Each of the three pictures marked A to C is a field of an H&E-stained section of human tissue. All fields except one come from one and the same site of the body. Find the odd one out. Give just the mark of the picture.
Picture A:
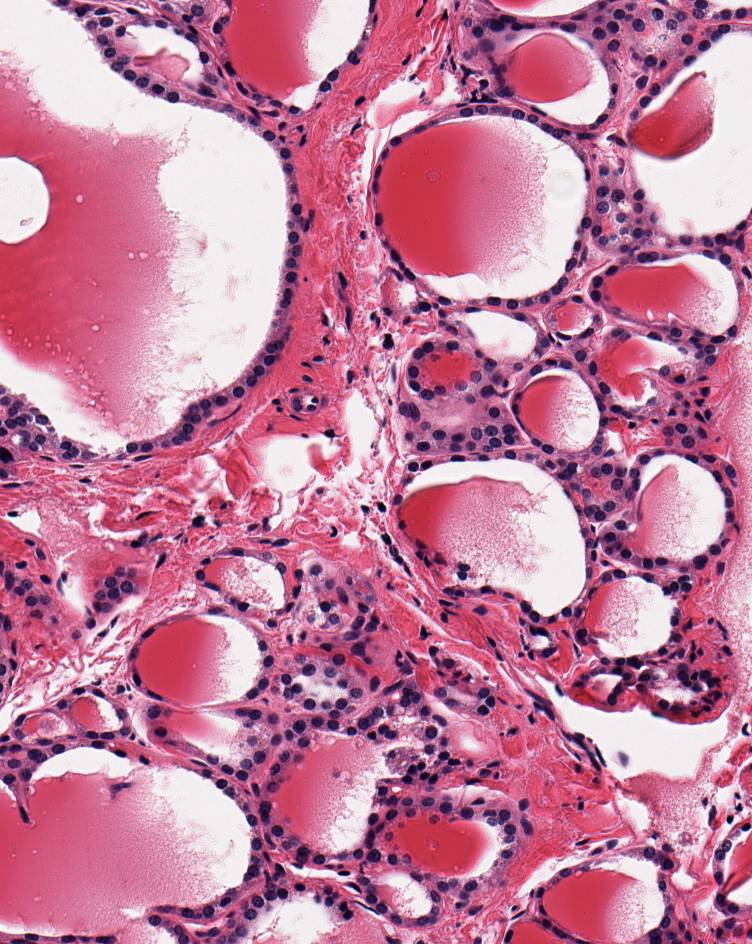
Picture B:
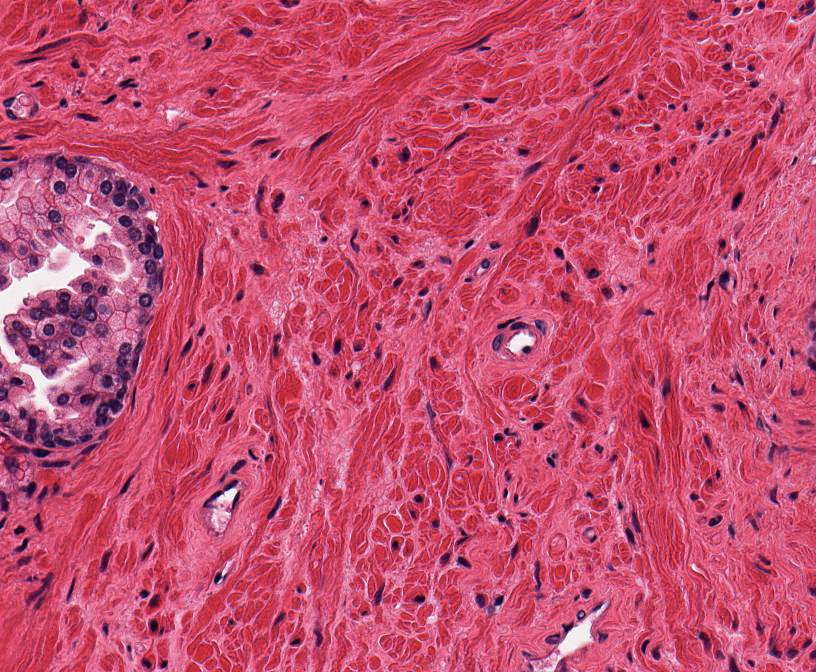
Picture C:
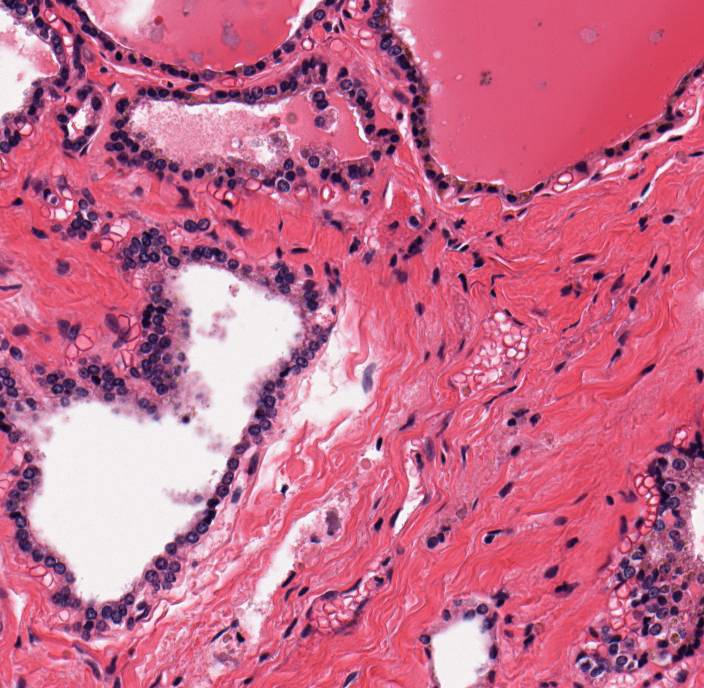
B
